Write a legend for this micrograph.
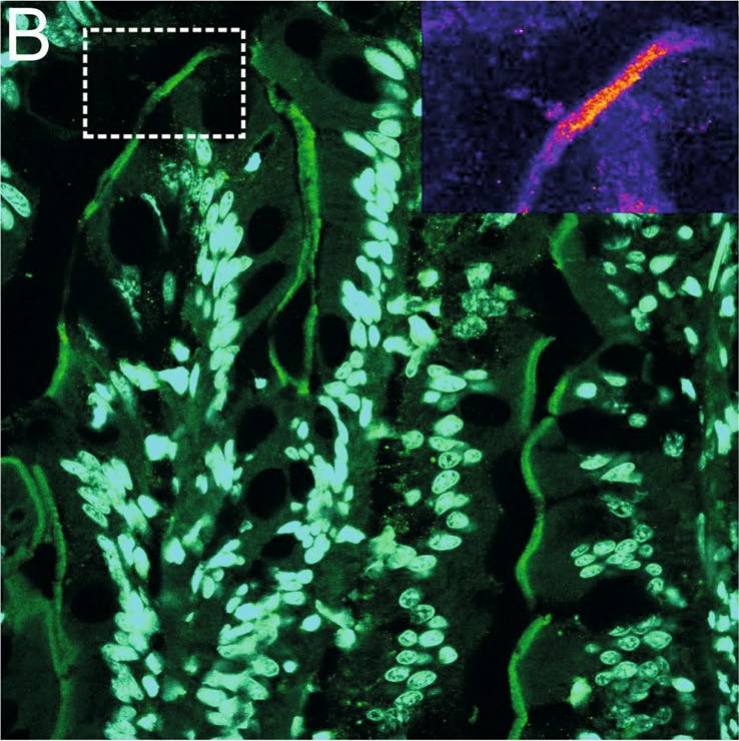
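This section of intestinal mucosa shows folds lined by a tall columnar epithelium of enterocytes with interspersed goblet cells. The enterocyte nuclei are oval to elongated and lie in tight rows, shining pale cyan-white. A thin green line marks the luminal free edge of the epithelium, while the rest of the cytoplasm is only faintly green. Dark rounded oval spaces within the epithelial layer mark goblet cells. Between neighbouring epithelial layers lie cores of connective tissue with scattered nuclei.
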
